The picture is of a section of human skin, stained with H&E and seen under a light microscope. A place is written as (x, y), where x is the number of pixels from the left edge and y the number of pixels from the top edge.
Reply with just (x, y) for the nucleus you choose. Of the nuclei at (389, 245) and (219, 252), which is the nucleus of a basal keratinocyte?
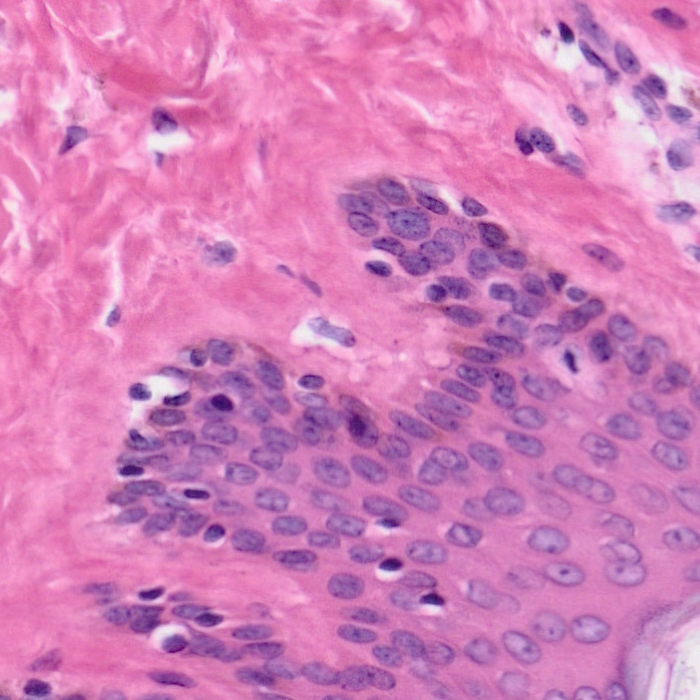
(389, 245)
